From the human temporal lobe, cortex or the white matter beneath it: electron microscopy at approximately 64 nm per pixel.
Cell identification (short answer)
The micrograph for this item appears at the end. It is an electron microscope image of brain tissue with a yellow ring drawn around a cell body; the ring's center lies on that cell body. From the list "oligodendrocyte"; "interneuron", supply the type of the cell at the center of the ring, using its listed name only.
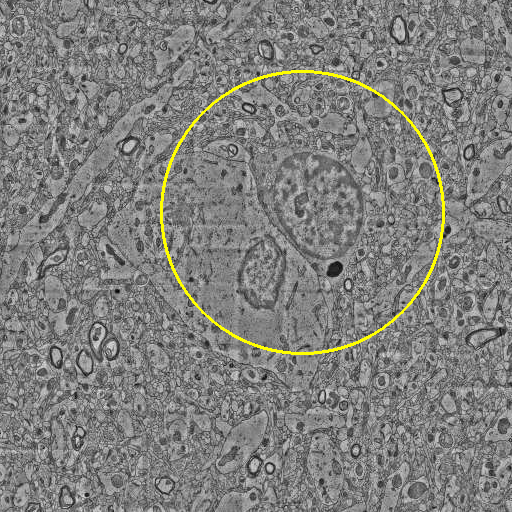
oligodendrocyte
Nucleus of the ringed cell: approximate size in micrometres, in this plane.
Roughly 7 by 5 micrometres is the size of the nucleus in this plane.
